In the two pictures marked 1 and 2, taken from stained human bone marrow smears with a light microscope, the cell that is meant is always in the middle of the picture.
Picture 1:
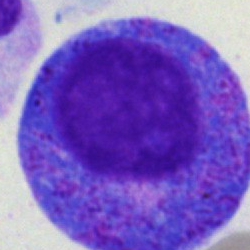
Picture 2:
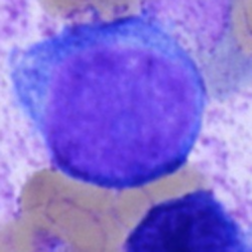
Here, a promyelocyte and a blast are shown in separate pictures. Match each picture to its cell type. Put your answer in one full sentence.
Picture 1 shows a promyelocyte and picture 2 shows a blast.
